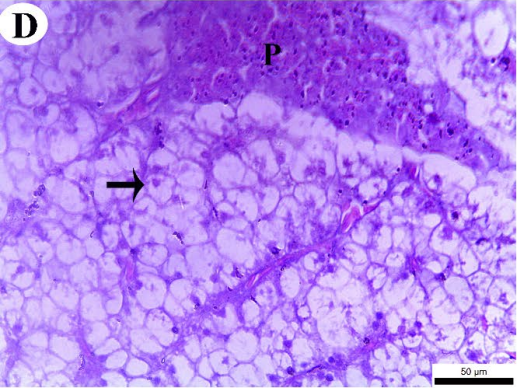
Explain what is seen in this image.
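Liver parenchyma with hepatocytes lying beside a cap of pancreatic tissue. The hepatocytes are large polygonal cells whose cytoplasm looks pale and clear, with thin purple cell borders and small, dark, round nuclei. At the top, the pancreatic tissue forms a compact, deeper purple mass of densely packed cells. A thin strand of connective tissue carrying a small vessel with red cells runs diagonally through the hepatocytes.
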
